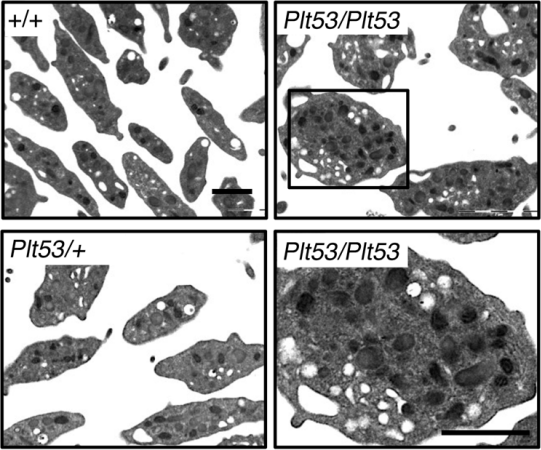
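In the upper left field the platelets are elongated, slender profiles with dark round granules and scattered clear vesicles. Other fields show platelets that are larger and broader, with irregular outlines. The enlarged platelet shown at higher magnification contains many dark granules and numerous clear vacuoles. No nuclei are present.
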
